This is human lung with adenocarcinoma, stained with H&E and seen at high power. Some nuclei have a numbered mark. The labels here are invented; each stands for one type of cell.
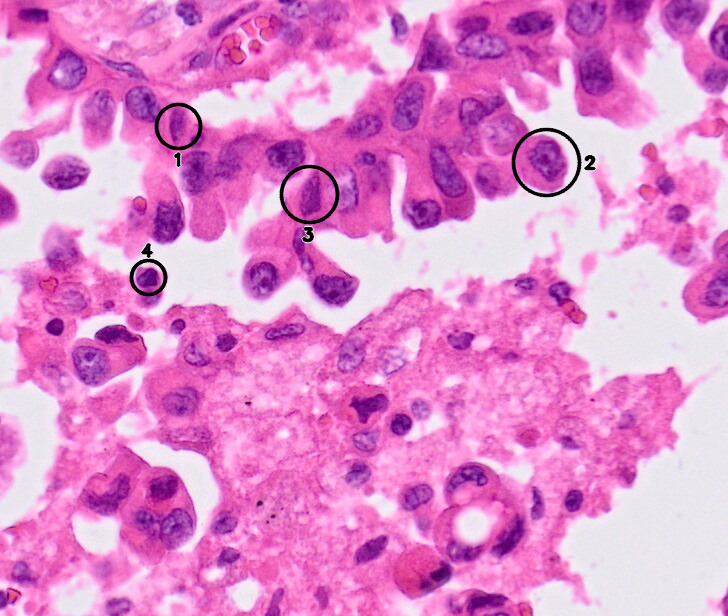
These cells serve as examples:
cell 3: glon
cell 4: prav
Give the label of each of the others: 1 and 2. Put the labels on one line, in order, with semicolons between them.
glon; glon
